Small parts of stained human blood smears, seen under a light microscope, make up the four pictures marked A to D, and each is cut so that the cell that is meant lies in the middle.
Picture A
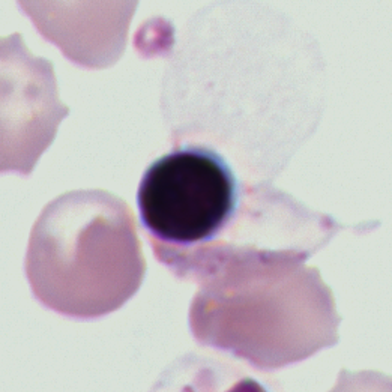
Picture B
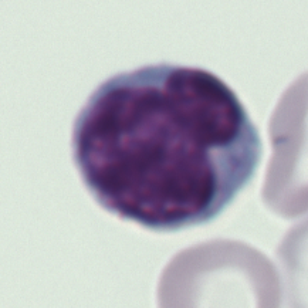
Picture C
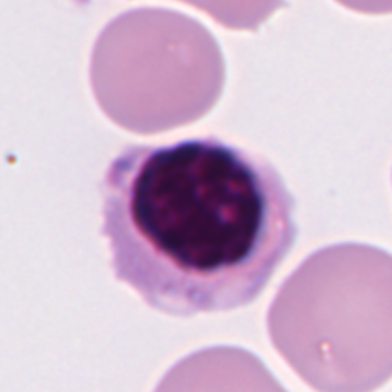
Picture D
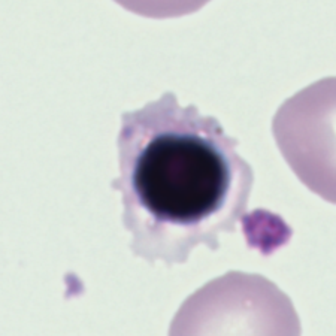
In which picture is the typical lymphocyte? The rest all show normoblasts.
B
